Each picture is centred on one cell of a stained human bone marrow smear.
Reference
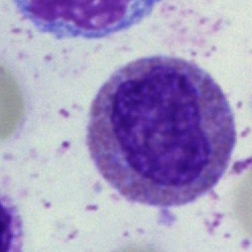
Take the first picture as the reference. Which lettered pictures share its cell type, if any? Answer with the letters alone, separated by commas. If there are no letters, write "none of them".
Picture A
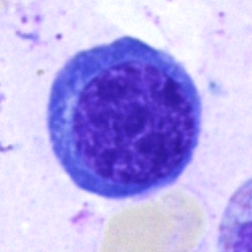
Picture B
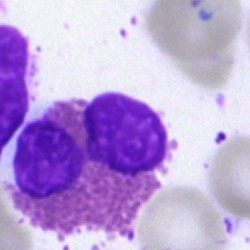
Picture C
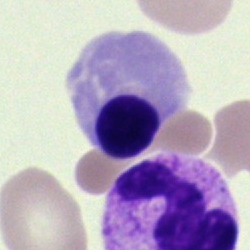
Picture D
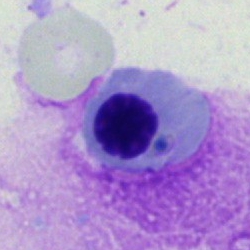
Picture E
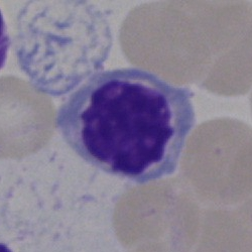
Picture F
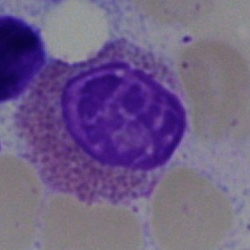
B, F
